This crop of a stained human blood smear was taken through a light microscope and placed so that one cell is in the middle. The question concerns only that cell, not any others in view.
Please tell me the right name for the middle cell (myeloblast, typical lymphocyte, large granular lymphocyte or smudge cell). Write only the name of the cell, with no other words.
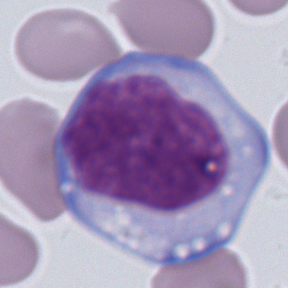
myeloblast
